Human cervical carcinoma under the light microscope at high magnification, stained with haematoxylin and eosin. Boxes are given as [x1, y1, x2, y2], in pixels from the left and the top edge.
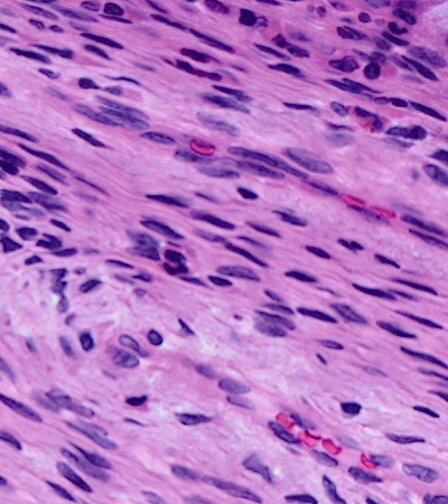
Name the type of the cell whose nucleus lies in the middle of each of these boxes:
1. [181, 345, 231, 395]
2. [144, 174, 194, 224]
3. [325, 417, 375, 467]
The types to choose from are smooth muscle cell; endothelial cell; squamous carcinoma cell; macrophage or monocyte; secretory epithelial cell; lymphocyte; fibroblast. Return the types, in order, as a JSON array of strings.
["endothelial cell", "fibroblast", "endothelial cell"]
